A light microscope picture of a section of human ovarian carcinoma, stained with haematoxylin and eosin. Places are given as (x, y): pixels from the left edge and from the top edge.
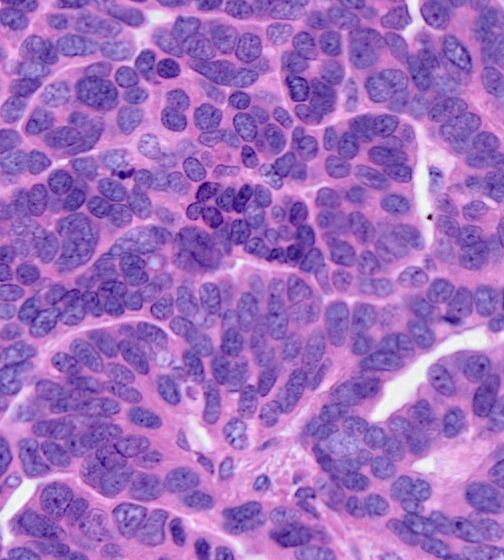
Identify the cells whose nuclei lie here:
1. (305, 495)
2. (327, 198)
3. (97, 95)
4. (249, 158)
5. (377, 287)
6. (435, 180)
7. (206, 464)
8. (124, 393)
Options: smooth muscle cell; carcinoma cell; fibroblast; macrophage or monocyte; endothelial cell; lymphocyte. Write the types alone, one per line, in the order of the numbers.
fibroblast
carcinoma cell
carcinoma cell
carcinoma cell
carcinoma cell
macrophage or monocyte
fibroblast
carcinoma cell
